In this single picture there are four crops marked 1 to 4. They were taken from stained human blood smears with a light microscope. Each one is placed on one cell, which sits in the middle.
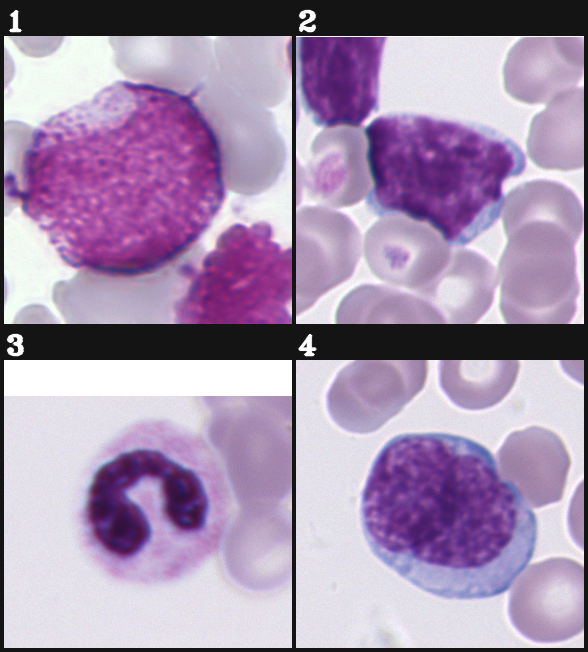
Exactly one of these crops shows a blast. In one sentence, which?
In the set of crops, crop 4 is the one that contains a blast.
